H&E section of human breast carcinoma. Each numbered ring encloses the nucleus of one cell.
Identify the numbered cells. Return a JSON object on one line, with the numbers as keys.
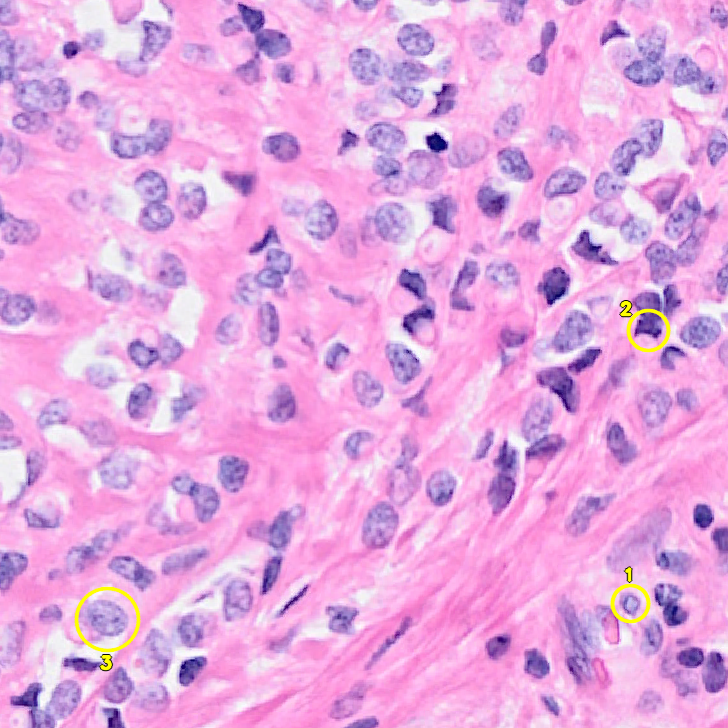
{"1": "endothelial cell", "2": "carcinoma cell", "3": "carcinoma cell"}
